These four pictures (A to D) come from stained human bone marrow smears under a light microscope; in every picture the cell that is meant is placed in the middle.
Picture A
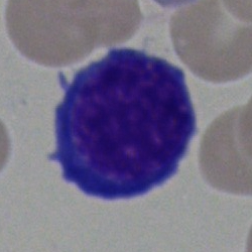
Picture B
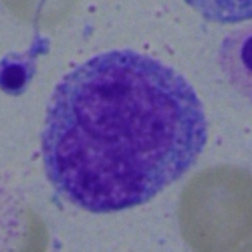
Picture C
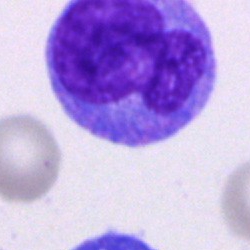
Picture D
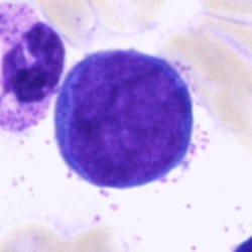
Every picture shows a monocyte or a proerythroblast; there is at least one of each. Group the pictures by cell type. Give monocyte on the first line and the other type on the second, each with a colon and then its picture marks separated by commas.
monocyte: B, C
proerythroblast: A, D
